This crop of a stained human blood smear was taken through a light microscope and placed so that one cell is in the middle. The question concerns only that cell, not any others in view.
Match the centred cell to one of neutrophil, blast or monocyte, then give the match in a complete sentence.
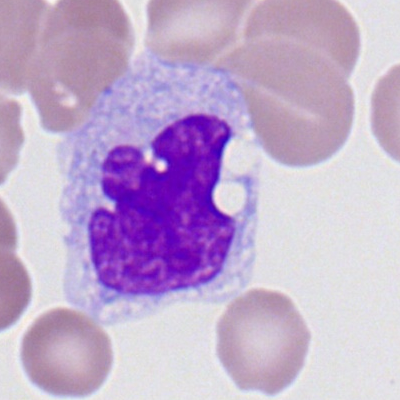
The cell nearest the centre of this crop is a monocyte.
